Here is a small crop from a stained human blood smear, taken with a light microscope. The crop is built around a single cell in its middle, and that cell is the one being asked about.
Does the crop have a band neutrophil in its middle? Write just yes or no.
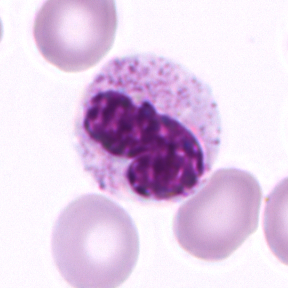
yes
